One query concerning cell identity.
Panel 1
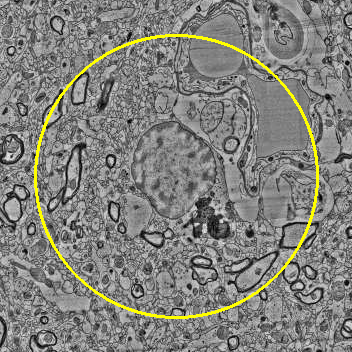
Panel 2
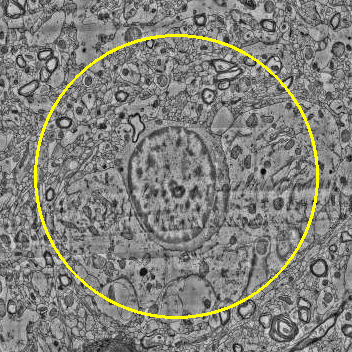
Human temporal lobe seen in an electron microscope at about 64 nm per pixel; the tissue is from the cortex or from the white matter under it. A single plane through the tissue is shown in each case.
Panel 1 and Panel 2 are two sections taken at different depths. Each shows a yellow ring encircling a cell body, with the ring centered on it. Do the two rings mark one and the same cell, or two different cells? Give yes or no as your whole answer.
no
